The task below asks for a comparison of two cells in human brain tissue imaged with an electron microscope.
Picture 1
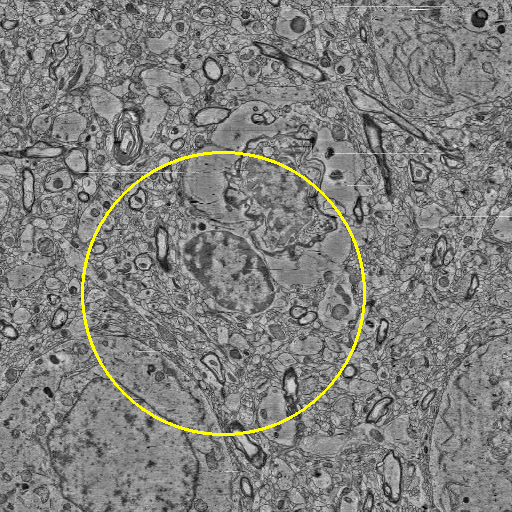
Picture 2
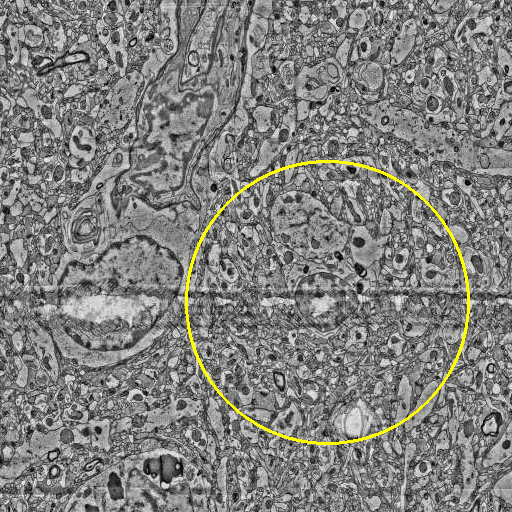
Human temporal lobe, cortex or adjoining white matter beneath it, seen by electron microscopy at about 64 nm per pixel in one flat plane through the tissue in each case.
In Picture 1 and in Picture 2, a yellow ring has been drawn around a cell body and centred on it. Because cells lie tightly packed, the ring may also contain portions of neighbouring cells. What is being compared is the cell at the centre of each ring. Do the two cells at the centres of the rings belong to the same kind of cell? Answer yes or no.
yes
